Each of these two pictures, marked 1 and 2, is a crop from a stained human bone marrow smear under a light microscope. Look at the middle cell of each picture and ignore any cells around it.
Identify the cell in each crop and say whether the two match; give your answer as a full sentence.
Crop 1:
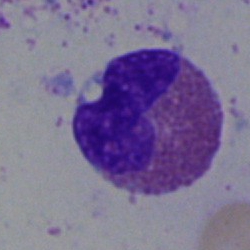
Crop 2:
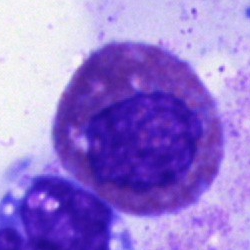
Yes, both crops show a cell each, and these are eosinophils.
